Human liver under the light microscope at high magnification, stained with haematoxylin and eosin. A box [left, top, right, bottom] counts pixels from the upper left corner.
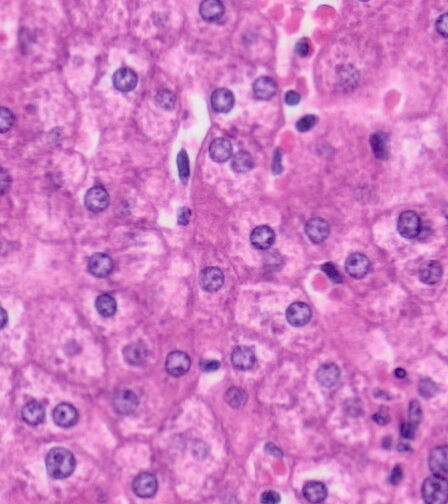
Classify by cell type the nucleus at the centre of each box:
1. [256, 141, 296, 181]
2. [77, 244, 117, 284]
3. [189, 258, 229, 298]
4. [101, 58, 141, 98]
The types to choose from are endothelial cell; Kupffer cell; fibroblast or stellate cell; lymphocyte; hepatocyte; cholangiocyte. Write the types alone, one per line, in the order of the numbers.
endothelial cell
hepatocyte
hepatocyte
hepatocyte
